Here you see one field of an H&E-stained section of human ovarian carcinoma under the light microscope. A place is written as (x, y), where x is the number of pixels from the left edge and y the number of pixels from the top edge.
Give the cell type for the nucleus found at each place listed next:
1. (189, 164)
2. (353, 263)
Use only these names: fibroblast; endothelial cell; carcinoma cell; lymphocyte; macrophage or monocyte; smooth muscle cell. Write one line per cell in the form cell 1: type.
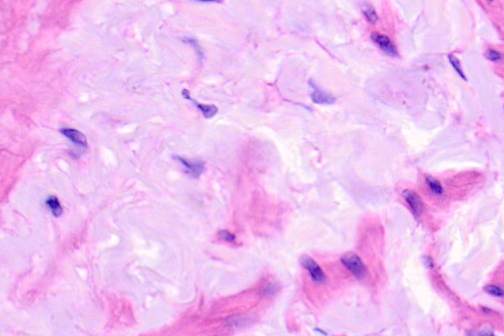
cell 1: fibroblast
cell 2: smooth muscle cell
